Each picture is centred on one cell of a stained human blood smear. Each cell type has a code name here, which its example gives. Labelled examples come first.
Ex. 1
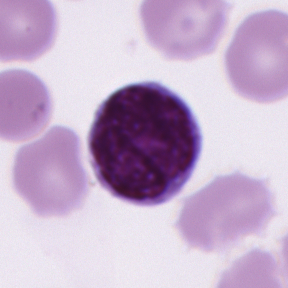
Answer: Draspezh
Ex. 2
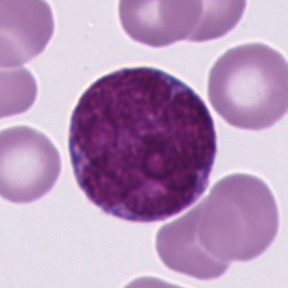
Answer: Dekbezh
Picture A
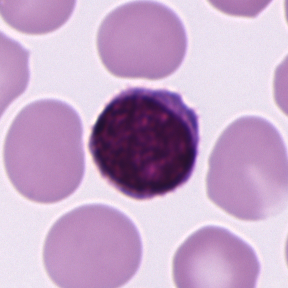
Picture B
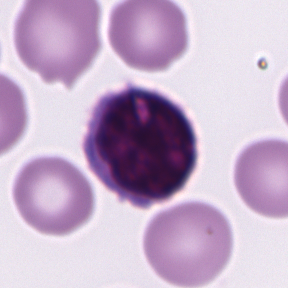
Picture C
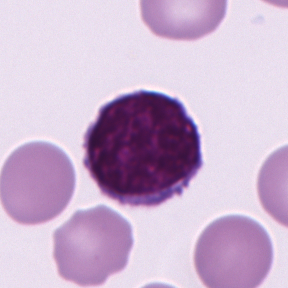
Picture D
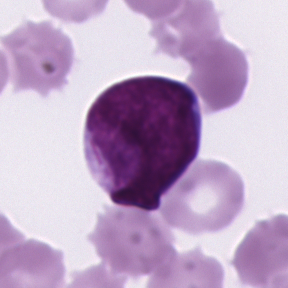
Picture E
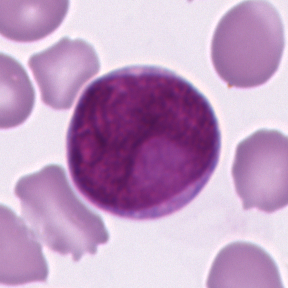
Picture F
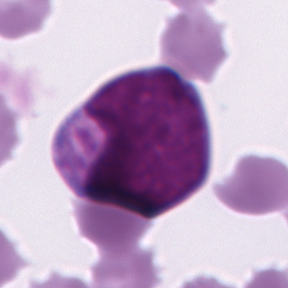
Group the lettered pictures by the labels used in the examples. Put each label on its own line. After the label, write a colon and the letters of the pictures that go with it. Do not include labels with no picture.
Draspezh: A, B, C
Dekbezh: D, E, F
